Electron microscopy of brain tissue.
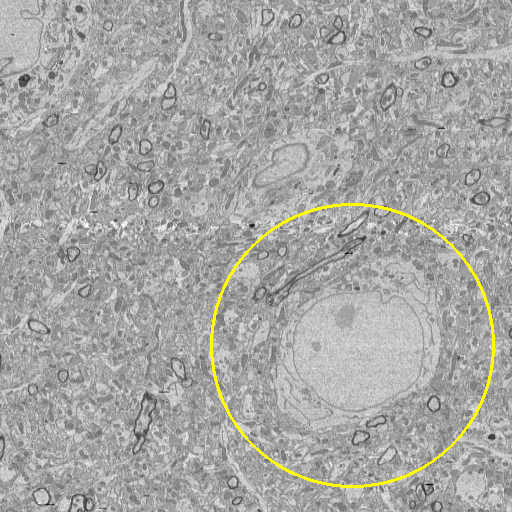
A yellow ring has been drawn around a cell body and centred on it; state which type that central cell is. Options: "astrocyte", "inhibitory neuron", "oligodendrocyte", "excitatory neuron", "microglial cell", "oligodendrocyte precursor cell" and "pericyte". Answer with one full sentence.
The cell at the middle of the yellow ring is an excitatory neuron in this picture.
